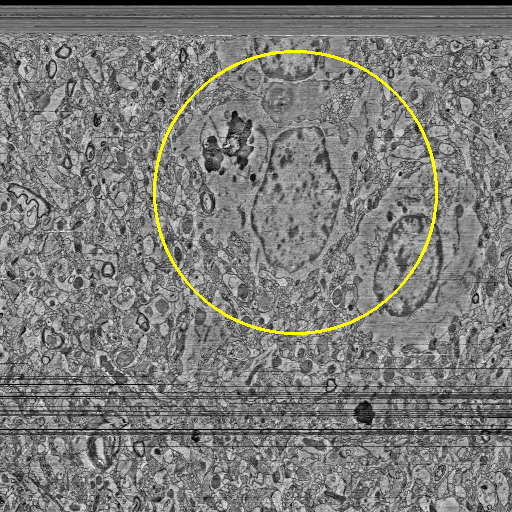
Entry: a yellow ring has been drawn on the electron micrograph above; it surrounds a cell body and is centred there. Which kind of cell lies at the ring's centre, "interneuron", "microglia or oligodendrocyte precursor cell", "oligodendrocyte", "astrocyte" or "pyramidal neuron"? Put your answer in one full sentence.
The cell sitting at the ring's centre is an astrocyte in the micrograph above.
